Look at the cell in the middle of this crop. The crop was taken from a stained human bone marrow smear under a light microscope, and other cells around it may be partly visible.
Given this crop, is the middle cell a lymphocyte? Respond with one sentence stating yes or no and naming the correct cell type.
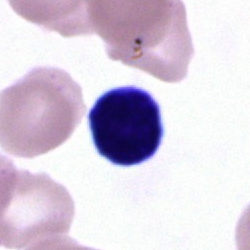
Yes, the cell placed centrally within the crop is a lymphocyte.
